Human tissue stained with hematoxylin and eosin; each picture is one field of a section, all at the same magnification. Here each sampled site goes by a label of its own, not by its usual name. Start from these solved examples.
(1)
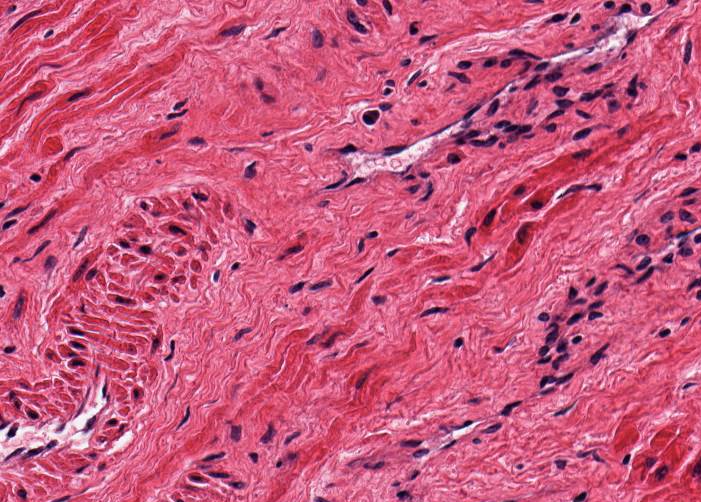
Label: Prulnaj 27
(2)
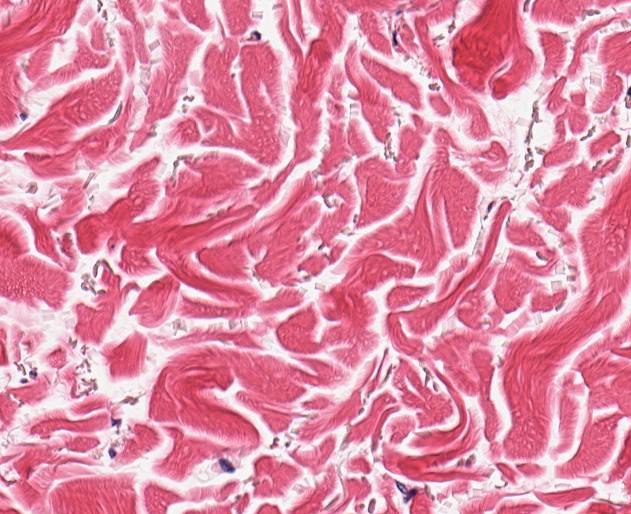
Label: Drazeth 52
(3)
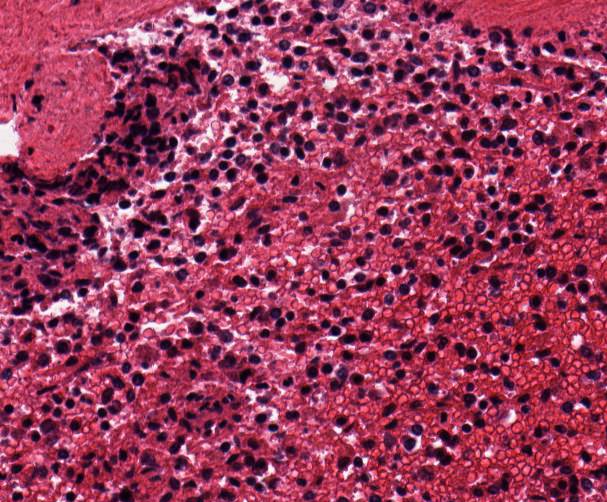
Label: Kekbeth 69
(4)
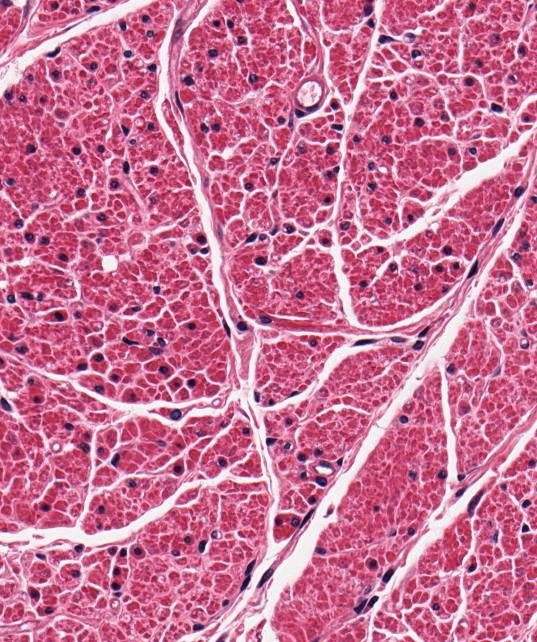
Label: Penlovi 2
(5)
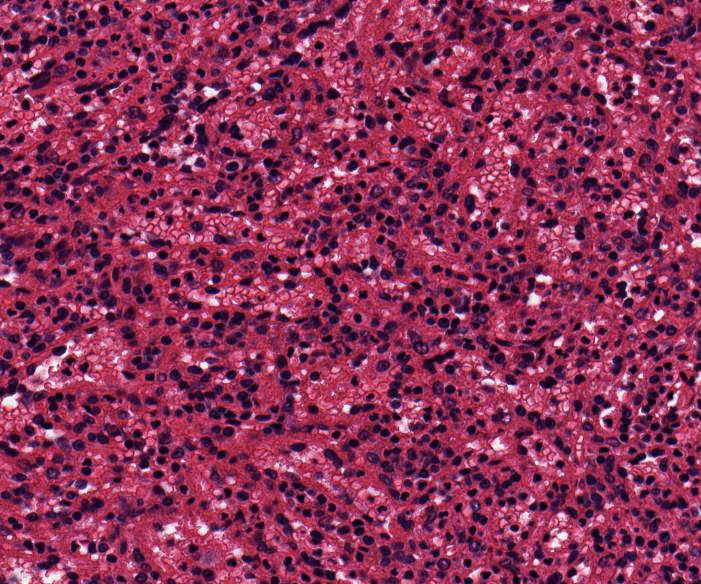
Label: Kekbeth 69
